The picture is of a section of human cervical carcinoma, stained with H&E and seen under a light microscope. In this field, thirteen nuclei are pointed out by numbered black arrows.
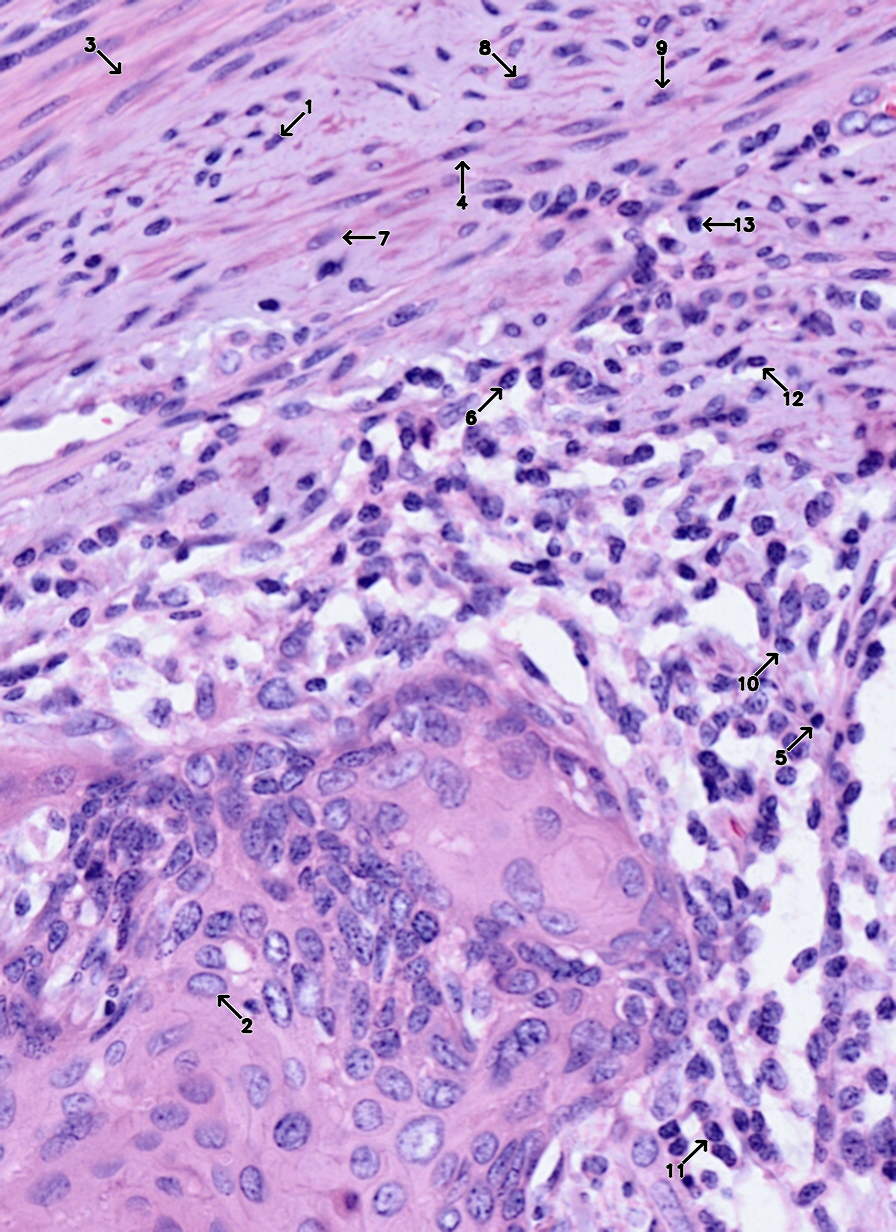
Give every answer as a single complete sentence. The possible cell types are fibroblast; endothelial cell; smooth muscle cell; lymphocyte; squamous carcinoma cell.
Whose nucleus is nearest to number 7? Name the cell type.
Number 7 lies closest to the nucleus of a lymphocyte.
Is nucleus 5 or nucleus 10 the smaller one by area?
With nucleus 10 about 1.5 times its size, nucleus 5 is the smaller of the two.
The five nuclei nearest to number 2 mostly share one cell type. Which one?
Of the five nuclei nearest to number 2, most belong to squamous carcinoma cells.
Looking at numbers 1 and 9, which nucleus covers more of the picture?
The larger nucleus is 9, at roughly 1.5 times the area of 1.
